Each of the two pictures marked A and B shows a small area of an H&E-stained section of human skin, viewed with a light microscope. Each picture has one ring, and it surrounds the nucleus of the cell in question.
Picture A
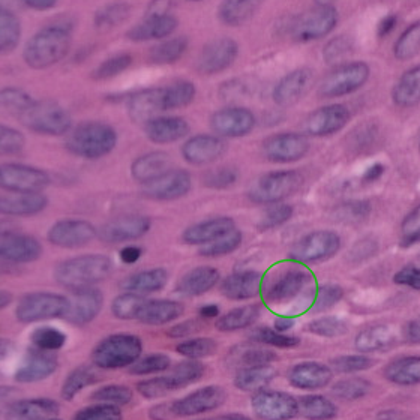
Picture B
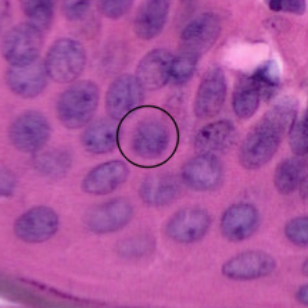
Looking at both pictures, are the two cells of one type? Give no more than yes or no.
no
